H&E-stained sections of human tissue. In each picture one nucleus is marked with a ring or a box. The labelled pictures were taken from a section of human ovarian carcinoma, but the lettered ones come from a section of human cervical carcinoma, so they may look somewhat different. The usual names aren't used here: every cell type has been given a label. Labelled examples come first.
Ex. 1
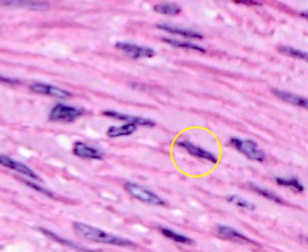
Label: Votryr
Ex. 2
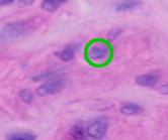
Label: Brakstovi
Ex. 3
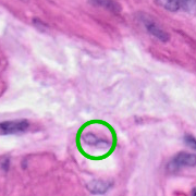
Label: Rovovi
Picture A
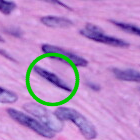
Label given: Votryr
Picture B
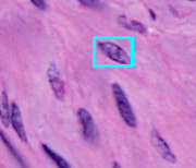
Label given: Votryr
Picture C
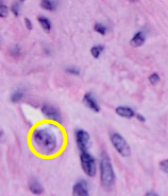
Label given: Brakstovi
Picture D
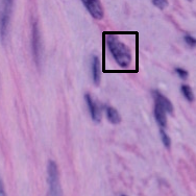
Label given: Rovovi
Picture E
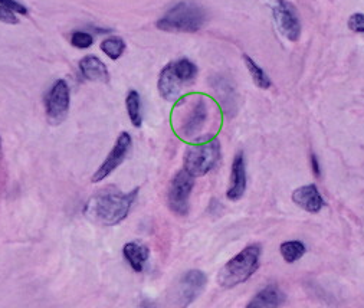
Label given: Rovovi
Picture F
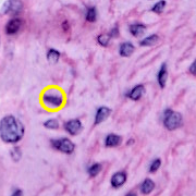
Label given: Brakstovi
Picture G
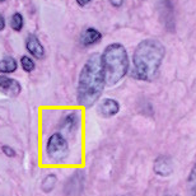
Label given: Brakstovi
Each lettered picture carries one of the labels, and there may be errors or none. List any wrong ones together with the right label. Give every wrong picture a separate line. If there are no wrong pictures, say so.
C should be Rovovi, not Brakstovi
